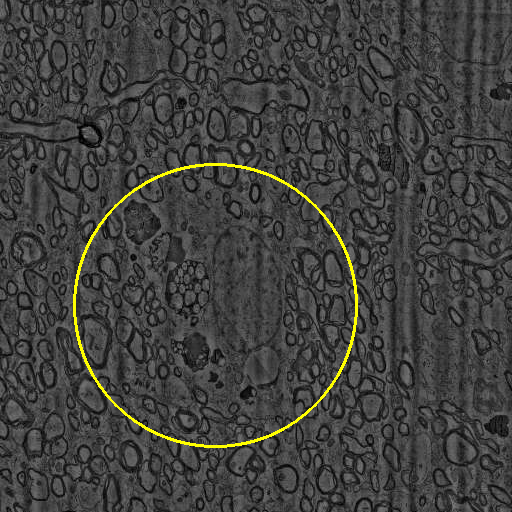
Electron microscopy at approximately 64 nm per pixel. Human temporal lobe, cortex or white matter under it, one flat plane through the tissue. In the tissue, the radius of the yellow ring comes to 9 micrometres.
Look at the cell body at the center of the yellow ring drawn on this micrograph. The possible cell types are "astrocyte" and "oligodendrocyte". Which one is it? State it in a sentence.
The cell in the middle of the ring is an astrocyte.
